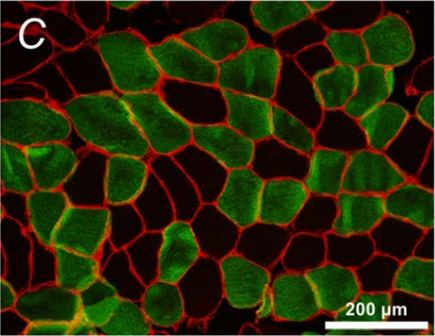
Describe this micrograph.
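This cross-section of skeletal muscle shows transversely cut, polygonal muscle fibres, each bounded by a red outline at its membrane. The fibres are closely packed with angular, rounded-polygonal shapes and fairly similar sizes. The green fibres show a grainy interior, and some have a brighter rim just inside the red border.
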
